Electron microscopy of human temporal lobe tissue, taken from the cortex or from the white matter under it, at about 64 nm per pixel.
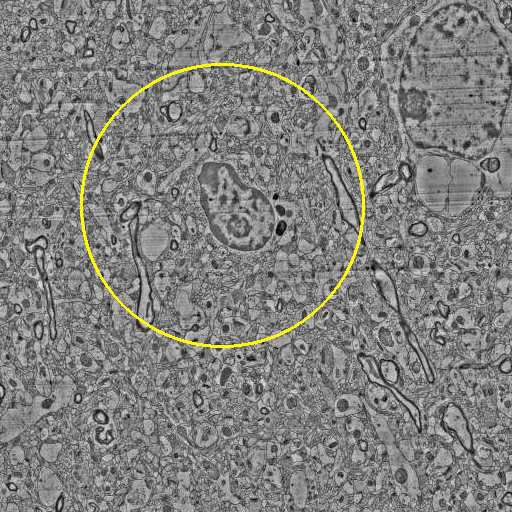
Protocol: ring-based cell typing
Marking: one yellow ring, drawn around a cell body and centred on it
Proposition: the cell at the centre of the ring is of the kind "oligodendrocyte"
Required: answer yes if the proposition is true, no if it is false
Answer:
no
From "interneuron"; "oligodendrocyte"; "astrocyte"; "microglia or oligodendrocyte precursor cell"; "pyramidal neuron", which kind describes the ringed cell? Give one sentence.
The answer is that the ringed cell is a microglial cell or oligodendrocyte precursor cell.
